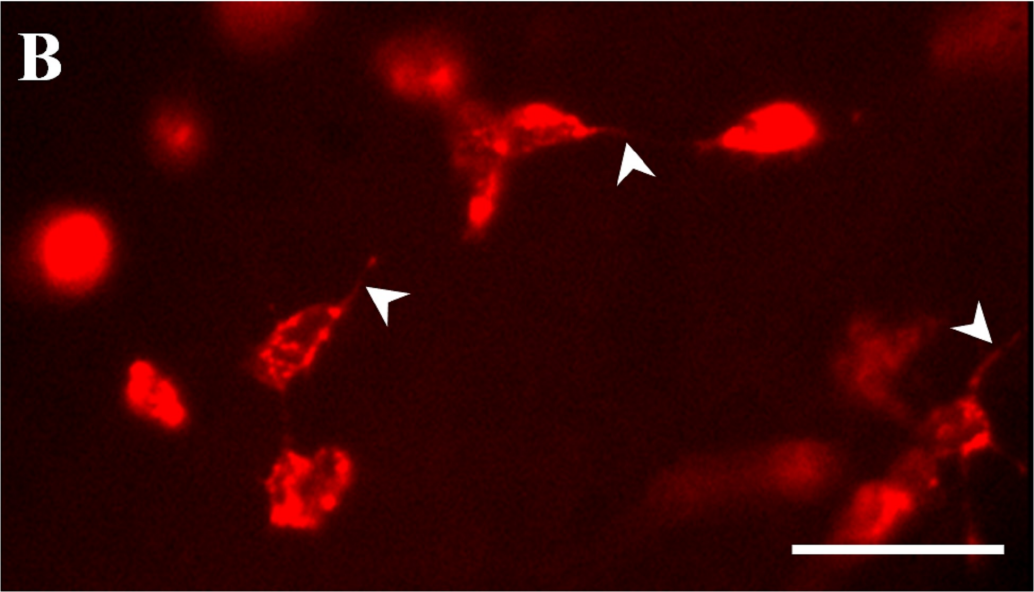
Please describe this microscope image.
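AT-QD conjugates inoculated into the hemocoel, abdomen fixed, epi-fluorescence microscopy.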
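Several irregular cells extend long, thin pseudopodia-like projections across the dark background. Out-of-focus red cells lie in other planes around them.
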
